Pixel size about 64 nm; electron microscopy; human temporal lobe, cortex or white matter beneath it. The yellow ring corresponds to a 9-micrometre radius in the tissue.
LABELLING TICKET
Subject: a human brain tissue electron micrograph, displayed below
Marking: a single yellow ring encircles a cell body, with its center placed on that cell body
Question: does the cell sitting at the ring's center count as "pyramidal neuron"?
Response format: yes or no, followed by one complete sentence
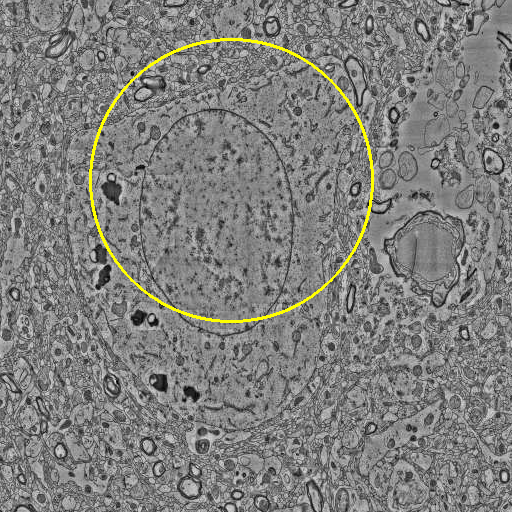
Yes, the cell at the center of the ring in the picture is of that kind.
